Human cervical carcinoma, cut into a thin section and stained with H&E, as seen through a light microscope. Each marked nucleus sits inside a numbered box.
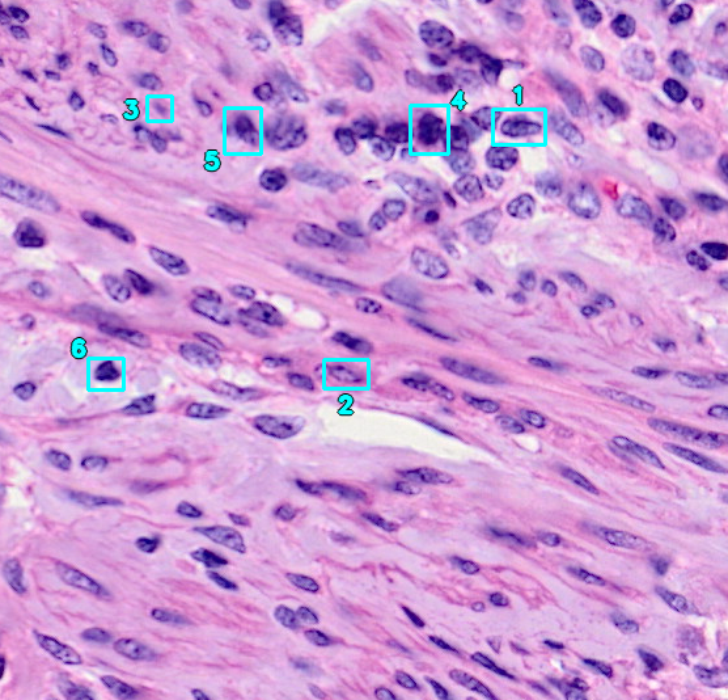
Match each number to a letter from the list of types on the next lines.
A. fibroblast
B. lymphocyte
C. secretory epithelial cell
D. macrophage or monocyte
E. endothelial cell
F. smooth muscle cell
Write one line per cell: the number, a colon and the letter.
1: B
2: E
3: F
4: B
5: B
6: B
